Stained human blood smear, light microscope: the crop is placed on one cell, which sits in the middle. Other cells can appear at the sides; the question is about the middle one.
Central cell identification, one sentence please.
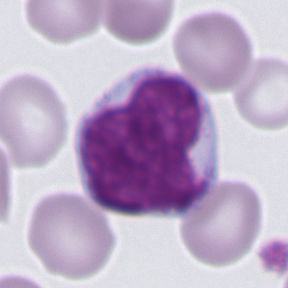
In the central position of this crop, the cell is a large granular lymphocyte.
